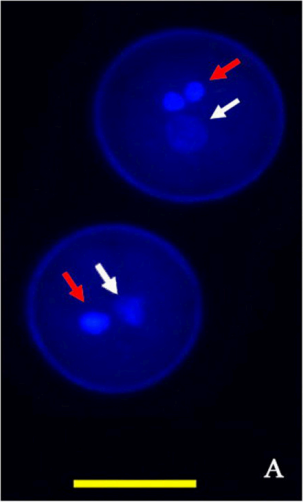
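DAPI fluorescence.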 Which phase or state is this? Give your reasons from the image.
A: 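Two-celled and three-celled pollen. Two round grains each hold one larger diffuse blue body.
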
